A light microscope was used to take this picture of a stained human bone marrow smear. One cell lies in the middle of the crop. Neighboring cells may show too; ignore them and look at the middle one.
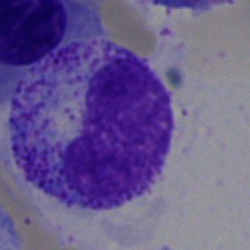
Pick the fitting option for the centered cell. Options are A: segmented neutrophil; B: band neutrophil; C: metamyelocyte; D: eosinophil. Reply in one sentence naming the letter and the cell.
The cell in the middle is a metamyelocyte, and so option C is correct.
